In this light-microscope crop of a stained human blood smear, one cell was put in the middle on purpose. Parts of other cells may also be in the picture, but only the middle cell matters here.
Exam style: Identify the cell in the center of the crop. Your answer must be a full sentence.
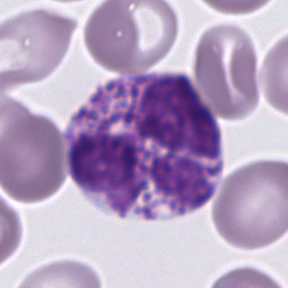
In the central position of this crop, the cell is a basophil.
